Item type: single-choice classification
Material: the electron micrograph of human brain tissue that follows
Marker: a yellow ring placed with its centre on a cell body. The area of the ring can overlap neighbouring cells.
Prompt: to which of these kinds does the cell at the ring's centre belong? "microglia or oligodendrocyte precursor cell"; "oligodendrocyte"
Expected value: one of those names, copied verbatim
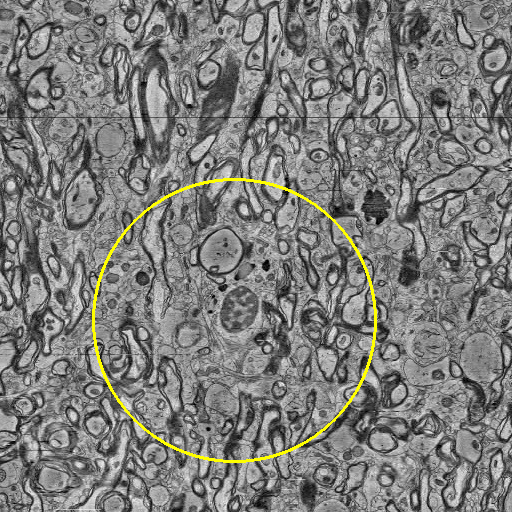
microglia or oligodendrocyte precursor cell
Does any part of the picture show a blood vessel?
No, none appears.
